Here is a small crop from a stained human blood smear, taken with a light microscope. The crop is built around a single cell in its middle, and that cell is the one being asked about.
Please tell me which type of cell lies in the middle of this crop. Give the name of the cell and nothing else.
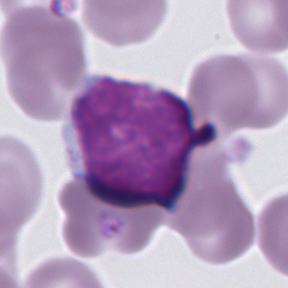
large granular lymphocyte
